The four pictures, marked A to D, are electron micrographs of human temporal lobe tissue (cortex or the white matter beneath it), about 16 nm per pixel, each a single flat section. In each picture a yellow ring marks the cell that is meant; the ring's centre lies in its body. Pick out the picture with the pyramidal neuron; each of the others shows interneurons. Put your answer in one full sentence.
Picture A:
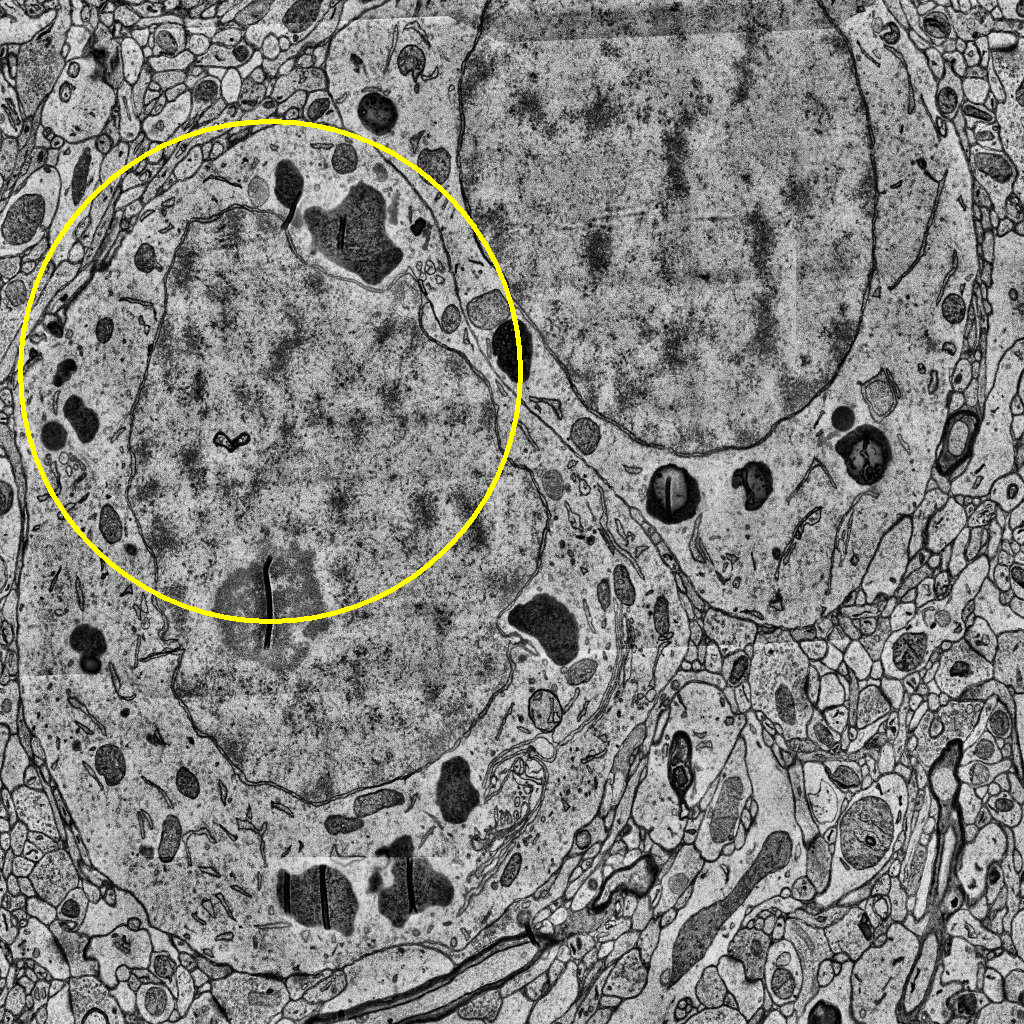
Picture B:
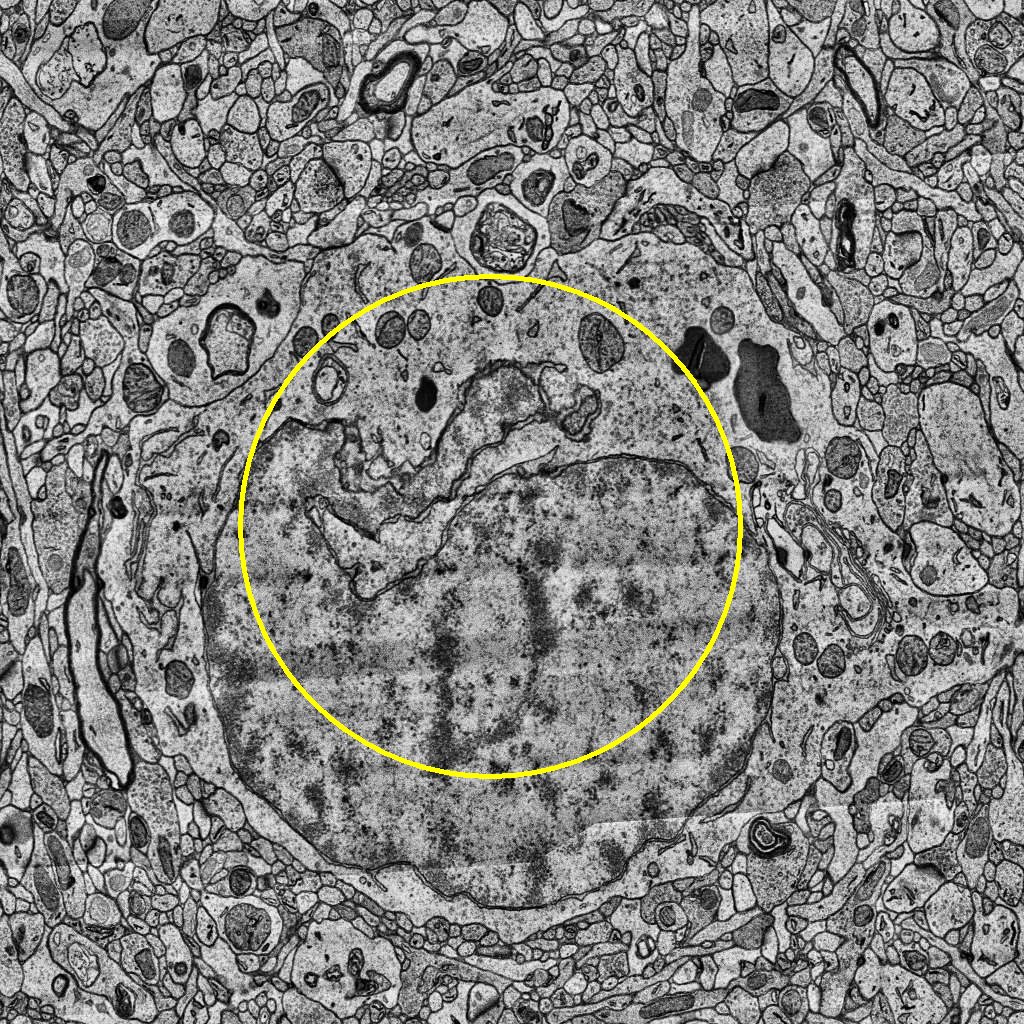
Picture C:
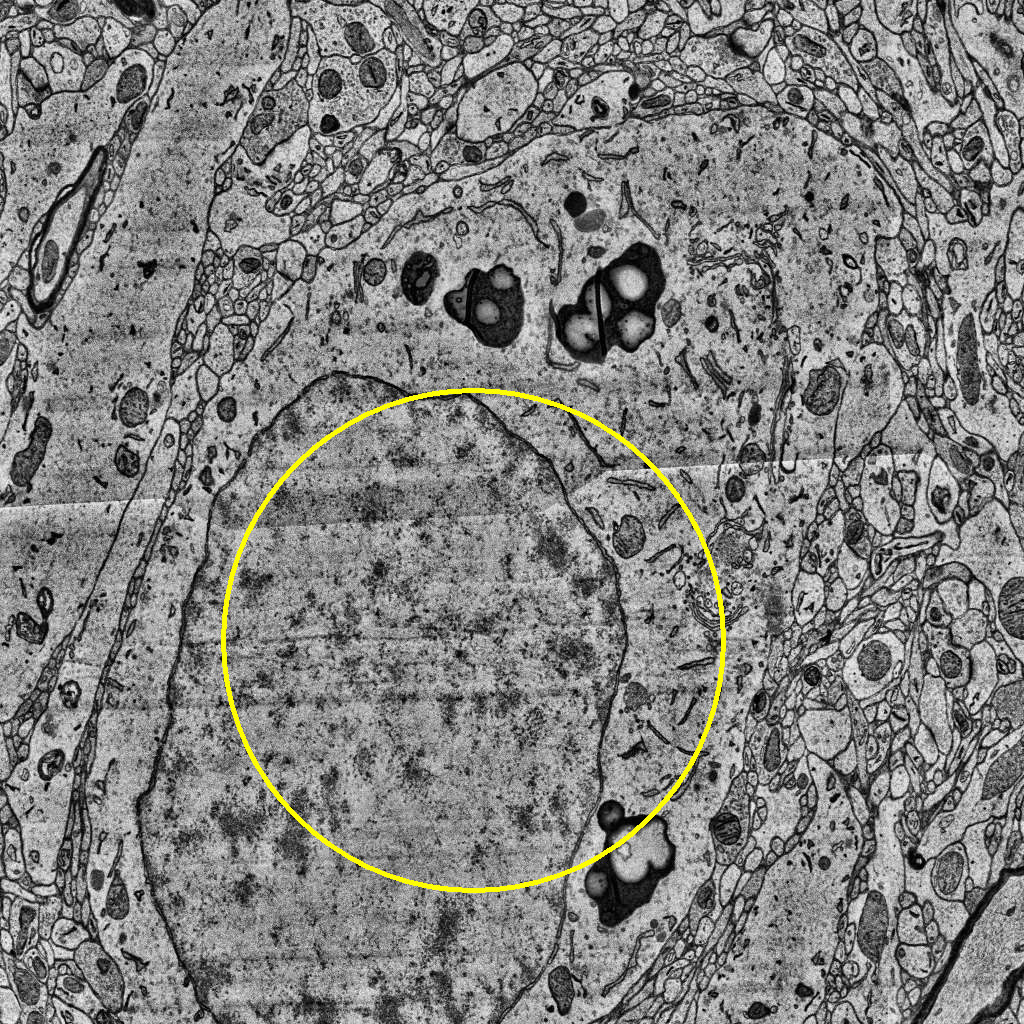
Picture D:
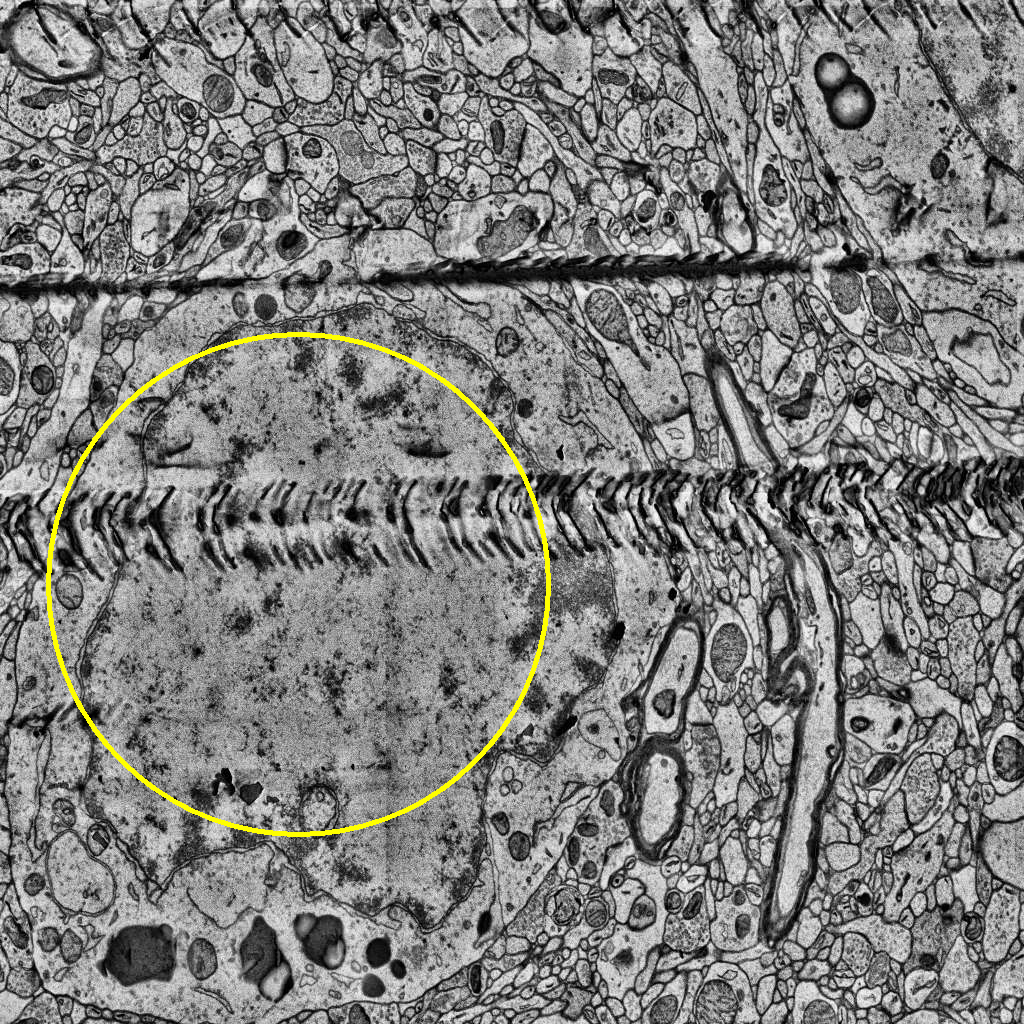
Picture C is the one that shows the pyramidal neuron.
